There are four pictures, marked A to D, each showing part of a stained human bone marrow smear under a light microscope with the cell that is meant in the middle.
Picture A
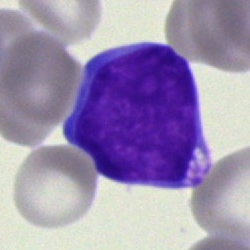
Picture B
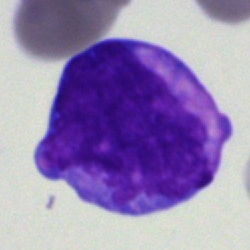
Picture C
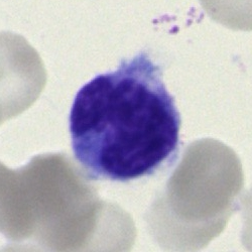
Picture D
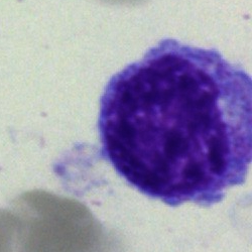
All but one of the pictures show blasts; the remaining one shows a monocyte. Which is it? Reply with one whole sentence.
The cell in picture C is the monocyte.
